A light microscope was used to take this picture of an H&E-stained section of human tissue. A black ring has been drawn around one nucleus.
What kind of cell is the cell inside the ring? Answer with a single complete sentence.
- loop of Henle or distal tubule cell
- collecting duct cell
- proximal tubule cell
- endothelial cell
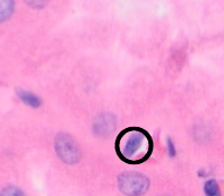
The cell inside the ring is an endothelial cell.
